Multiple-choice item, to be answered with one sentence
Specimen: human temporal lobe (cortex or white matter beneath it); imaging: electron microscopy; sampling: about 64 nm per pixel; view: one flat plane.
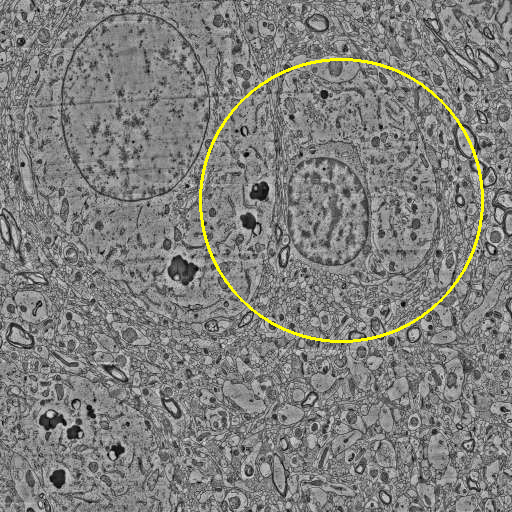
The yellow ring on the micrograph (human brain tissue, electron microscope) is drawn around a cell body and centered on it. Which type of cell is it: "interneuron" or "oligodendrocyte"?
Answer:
The ring is centered on an oligodendrocyte.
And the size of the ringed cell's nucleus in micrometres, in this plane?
Roughly 7 by 6 micrometres in this plane, for the nucleus of the ringed cell.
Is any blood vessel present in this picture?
No.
